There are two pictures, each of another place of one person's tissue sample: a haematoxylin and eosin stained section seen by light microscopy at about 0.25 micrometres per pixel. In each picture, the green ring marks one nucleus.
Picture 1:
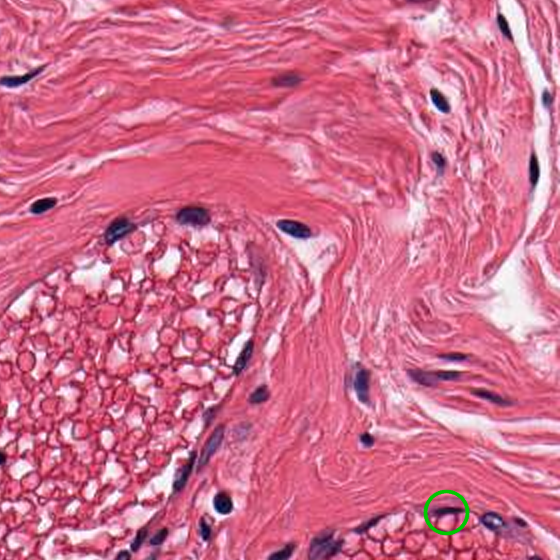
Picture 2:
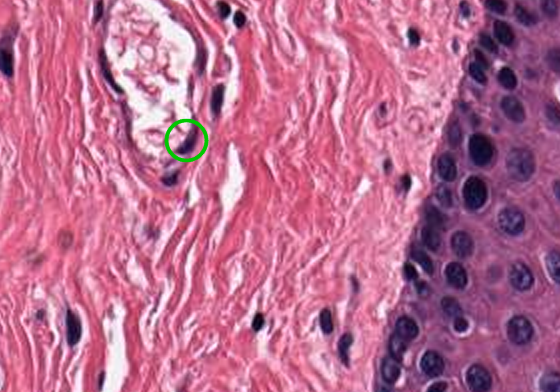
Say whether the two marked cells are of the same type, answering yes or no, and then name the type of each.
Yes, both are endothelial cells.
